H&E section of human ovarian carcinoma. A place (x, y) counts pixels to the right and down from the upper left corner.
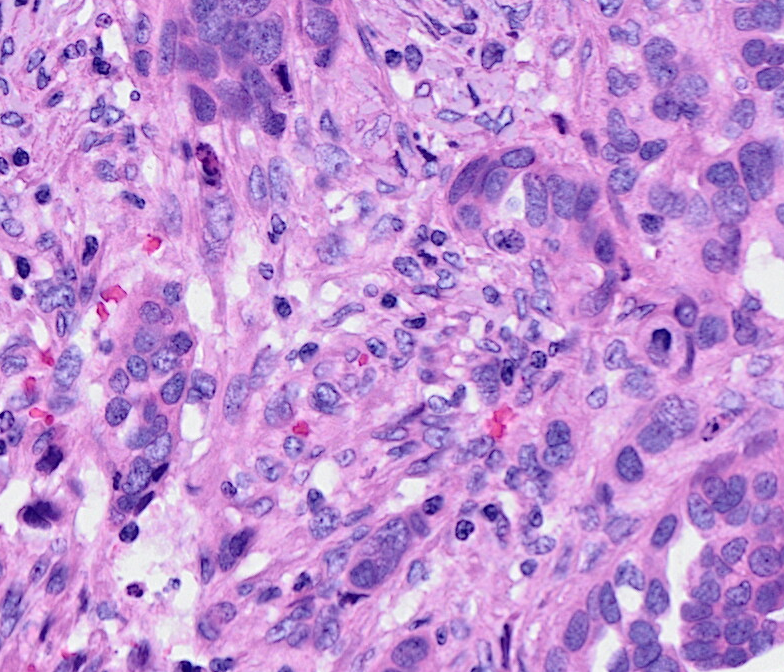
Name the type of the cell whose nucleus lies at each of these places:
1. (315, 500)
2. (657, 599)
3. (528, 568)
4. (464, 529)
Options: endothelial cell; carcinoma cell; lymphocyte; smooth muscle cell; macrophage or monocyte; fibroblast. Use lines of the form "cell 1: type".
cell 1: lymphocyte
cell 2: carcinoma cell
cell 3: lymphocyte
cell 4: lymphocyte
